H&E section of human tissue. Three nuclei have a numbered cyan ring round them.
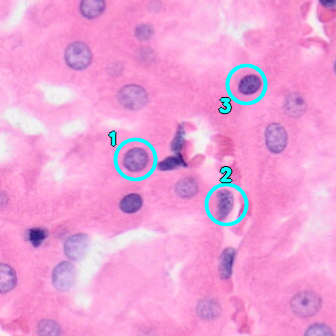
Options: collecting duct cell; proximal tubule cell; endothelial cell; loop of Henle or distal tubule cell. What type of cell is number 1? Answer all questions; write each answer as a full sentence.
Recognised here as a proximal tubule cell is the cell numbered 1.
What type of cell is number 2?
It is as an endothelial cell that the cell numbered 2 is identified.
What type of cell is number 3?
The nucleus marked 3 is the nucleus of a proximal tubule cell.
